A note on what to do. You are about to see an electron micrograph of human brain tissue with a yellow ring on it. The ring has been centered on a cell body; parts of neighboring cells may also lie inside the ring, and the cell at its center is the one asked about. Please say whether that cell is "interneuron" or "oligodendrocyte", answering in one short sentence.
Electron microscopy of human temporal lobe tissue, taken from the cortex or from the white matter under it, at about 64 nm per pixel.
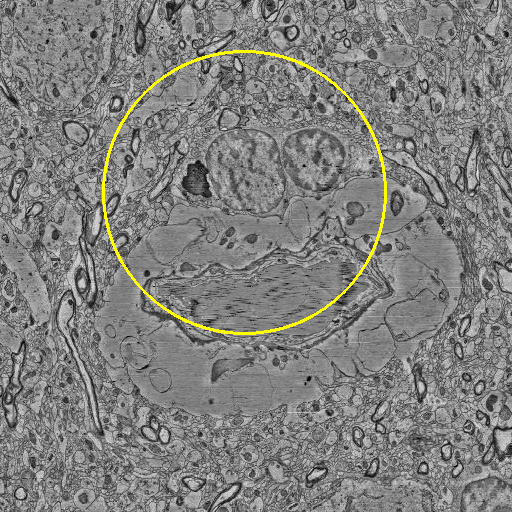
The yellow ring sits on an oligodendrocyte.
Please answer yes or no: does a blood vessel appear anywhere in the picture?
Yes, a vessel appears in the picture.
